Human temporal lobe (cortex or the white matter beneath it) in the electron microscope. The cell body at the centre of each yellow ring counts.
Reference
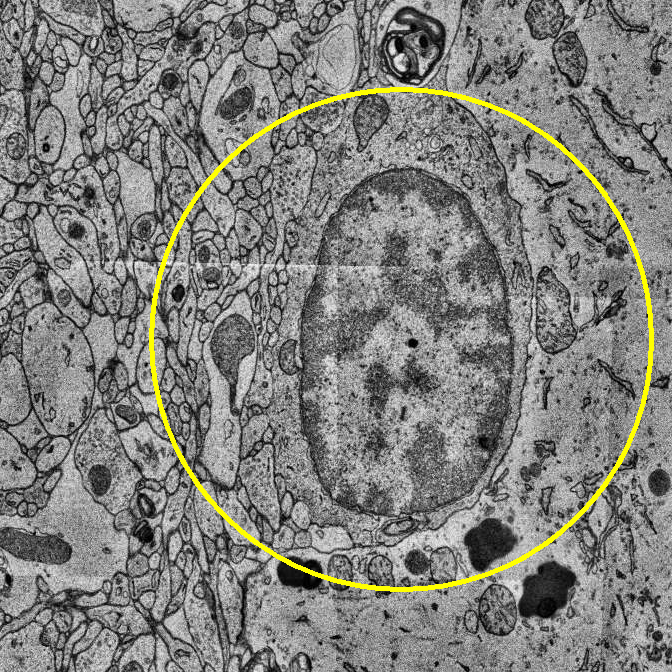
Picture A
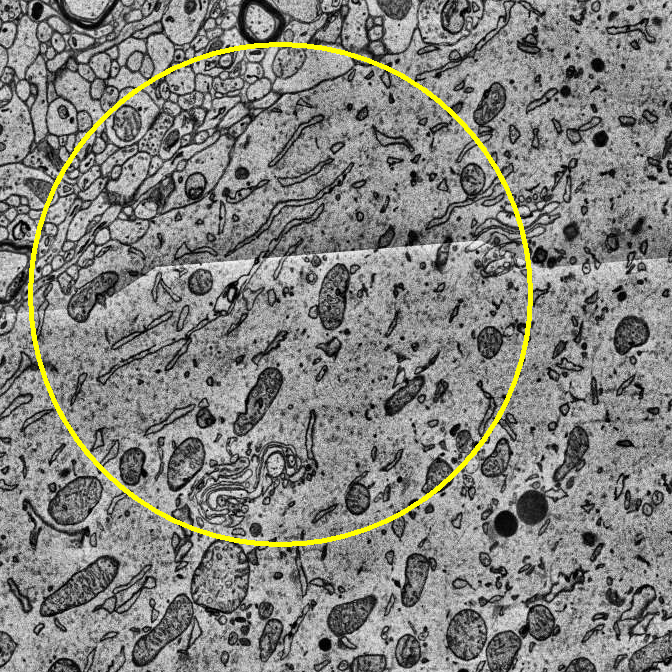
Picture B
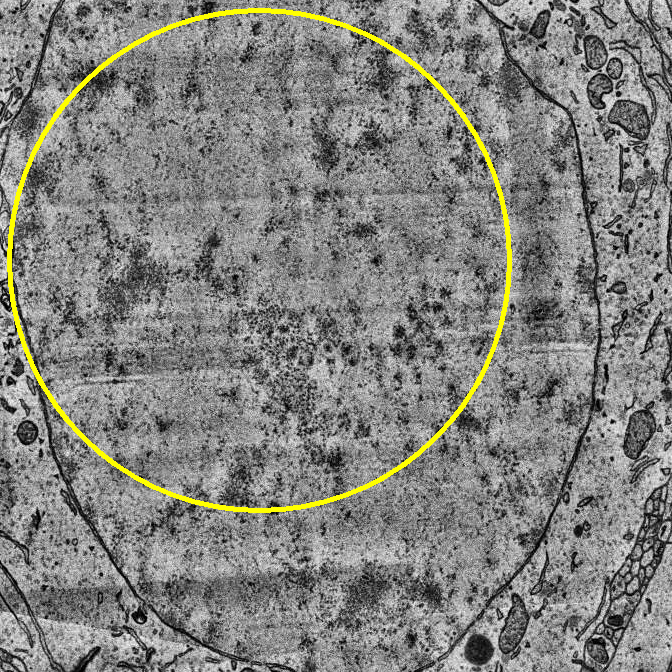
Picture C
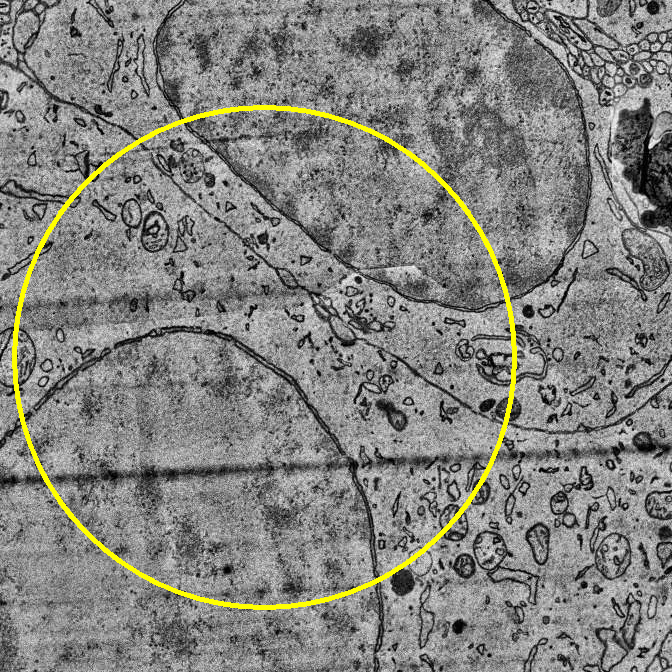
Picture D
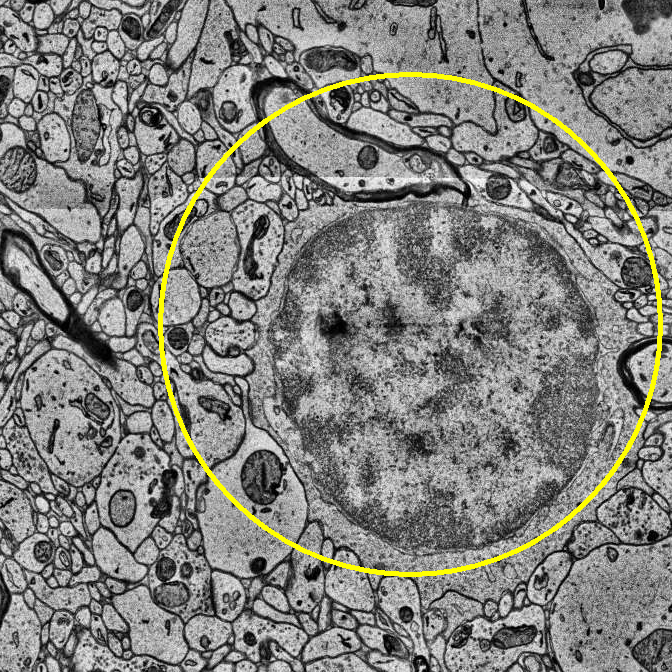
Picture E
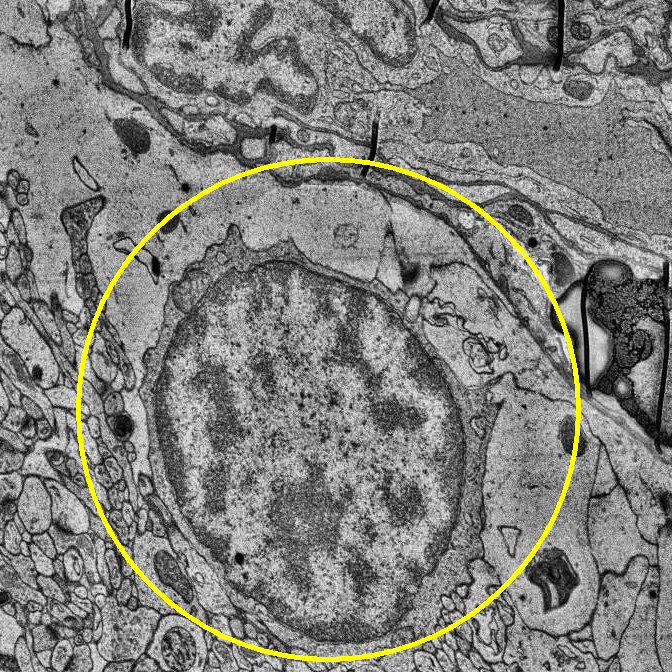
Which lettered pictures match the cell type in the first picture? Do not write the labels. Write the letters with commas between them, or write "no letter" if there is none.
C, D, E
